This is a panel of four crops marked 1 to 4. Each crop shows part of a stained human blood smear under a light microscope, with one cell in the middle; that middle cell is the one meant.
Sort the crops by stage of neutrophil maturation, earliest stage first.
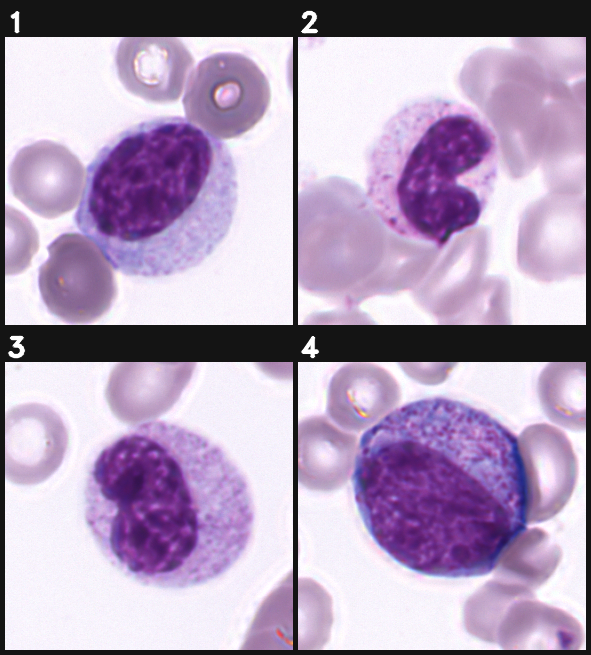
4, 1, 3, 2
